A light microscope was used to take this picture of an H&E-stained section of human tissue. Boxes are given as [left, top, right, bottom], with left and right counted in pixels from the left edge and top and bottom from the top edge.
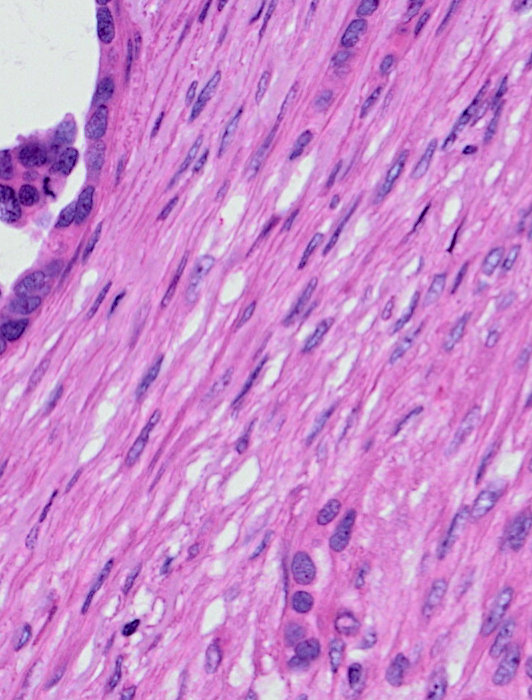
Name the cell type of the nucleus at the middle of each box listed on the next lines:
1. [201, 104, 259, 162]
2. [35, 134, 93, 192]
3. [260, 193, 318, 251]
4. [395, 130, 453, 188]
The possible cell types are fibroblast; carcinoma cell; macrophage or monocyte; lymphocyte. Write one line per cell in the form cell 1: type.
cell 1: fibroblast
cell 2: carcinoma cell
cell 3: fibroblast
cell 4: fibroblast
